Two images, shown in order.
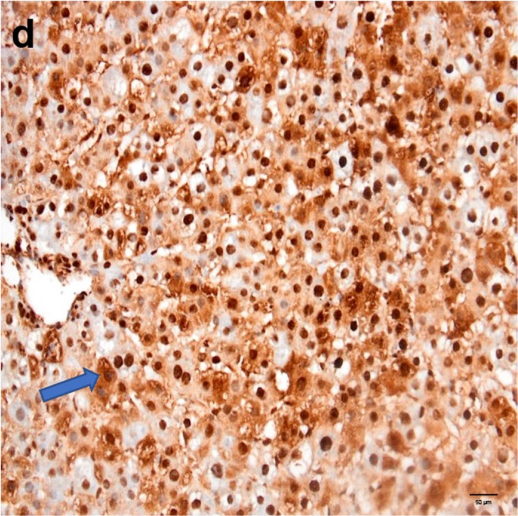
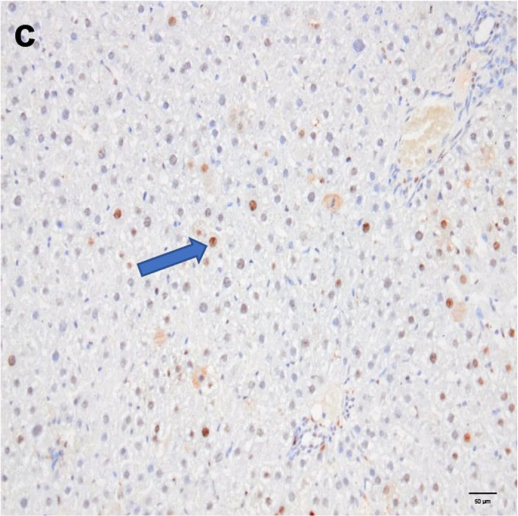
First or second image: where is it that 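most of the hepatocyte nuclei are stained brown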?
The first image.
